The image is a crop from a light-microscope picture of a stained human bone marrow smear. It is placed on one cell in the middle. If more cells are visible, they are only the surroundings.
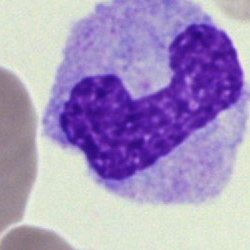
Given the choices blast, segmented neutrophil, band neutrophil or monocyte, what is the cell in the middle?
band neutrophil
